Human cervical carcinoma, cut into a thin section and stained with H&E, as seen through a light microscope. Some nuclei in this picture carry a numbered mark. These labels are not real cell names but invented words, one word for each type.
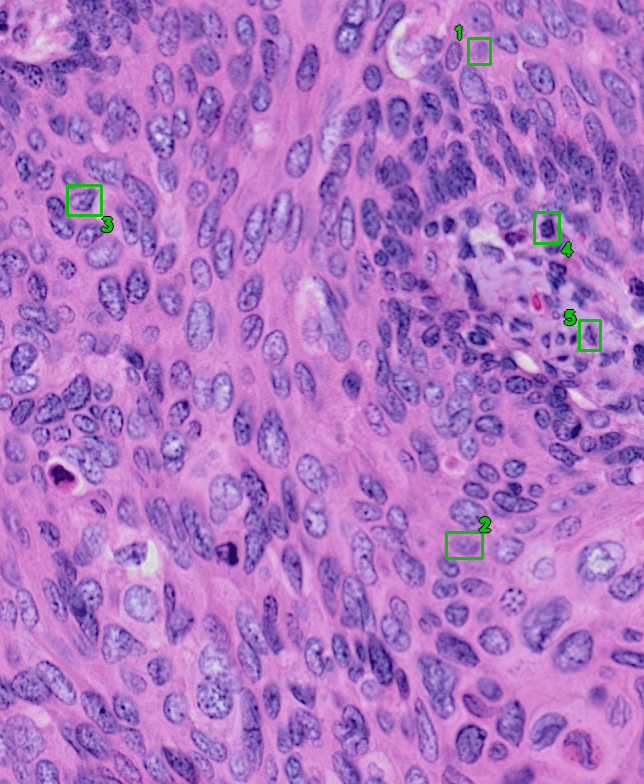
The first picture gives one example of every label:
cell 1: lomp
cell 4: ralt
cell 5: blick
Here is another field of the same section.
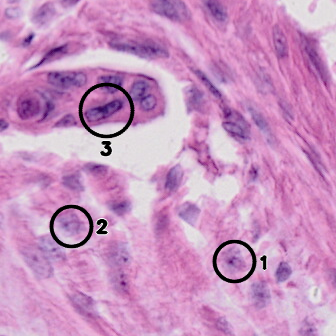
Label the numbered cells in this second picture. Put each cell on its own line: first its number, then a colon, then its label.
1: blick
2: blick
3: lomp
